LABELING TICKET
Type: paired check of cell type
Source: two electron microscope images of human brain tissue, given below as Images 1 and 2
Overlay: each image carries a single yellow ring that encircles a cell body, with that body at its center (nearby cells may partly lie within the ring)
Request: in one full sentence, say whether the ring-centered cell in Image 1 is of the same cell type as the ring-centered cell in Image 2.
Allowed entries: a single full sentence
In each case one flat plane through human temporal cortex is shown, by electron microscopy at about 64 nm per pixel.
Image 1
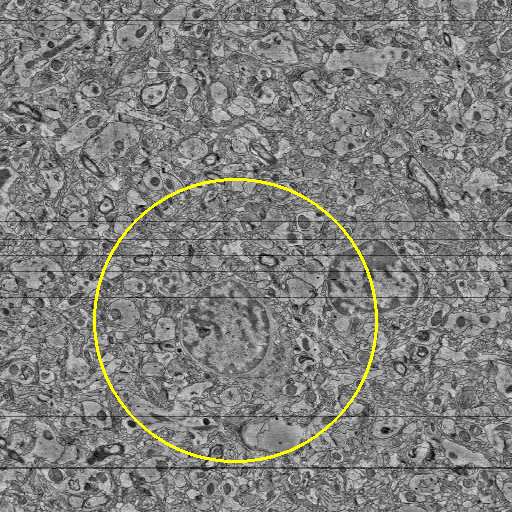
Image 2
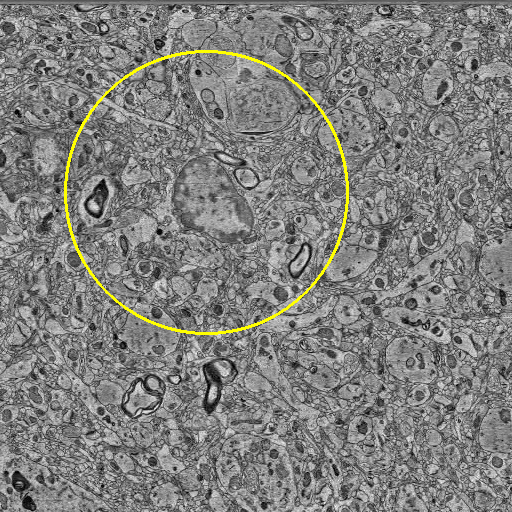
No, the cells centered in the rings of Image 1 and Image 2 are of two types.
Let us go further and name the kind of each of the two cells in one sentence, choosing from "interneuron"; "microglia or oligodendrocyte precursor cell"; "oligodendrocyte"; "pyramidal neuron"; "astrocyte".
The ring of the first picture is on an oligodendrocyte, the ring of the second on a microglial cell or oligodendrocyte precursor cell.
